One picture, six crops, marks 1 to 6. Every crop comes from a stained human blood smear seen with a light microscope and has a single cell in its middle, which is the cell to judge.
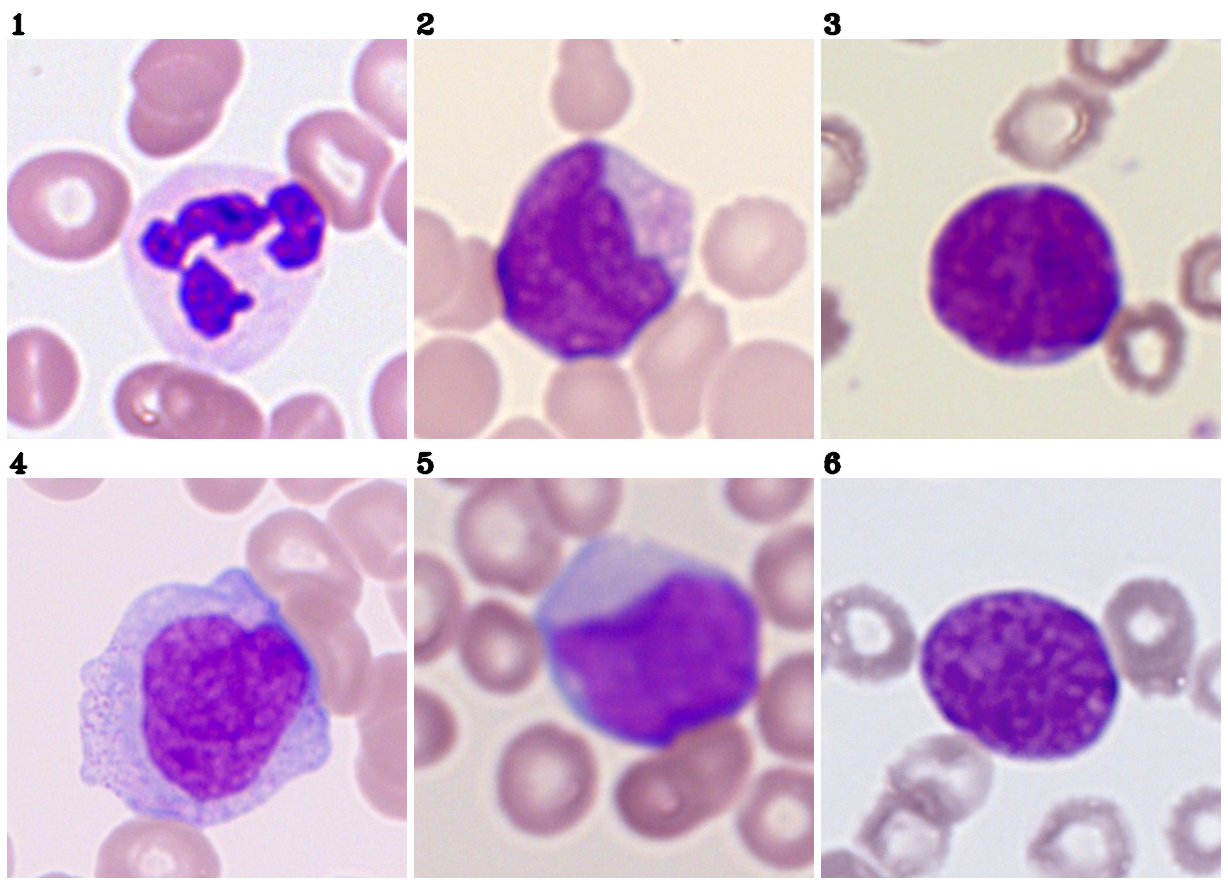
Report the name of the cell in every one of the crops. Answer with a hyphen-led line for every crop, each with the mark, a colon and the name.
- 1: segmented neutrophil
- 2: myeloblast
- 3: myeloblast
- 4: monocyte
- 5: myeloblast
- 6: myeloblast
